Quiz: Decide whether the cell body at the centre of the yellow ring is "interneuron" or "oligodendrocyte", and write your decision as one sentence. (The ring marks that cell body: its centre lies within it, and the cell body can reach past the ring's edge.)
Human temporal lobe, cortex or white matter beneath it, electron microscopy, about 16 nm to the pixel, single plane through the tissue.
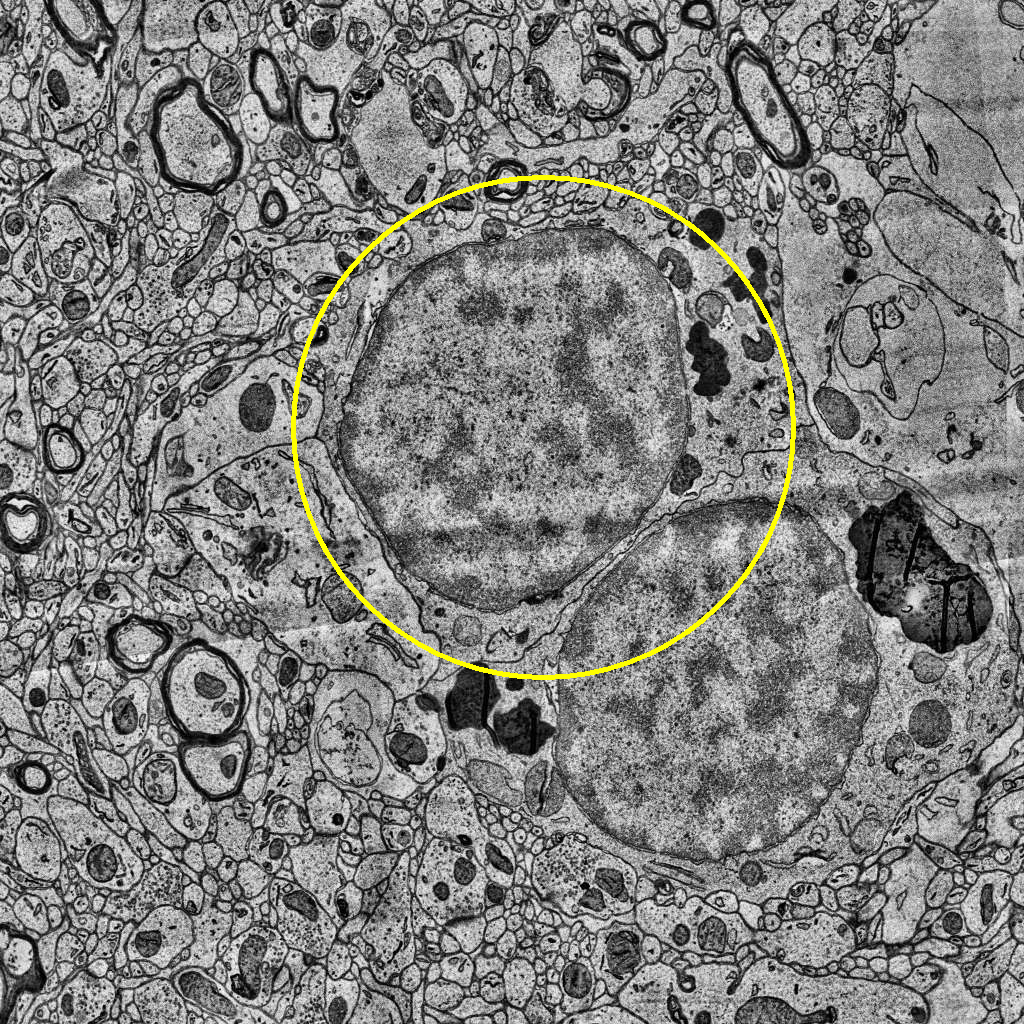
The cell holding the ring's centre is an oligodendrocyte.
